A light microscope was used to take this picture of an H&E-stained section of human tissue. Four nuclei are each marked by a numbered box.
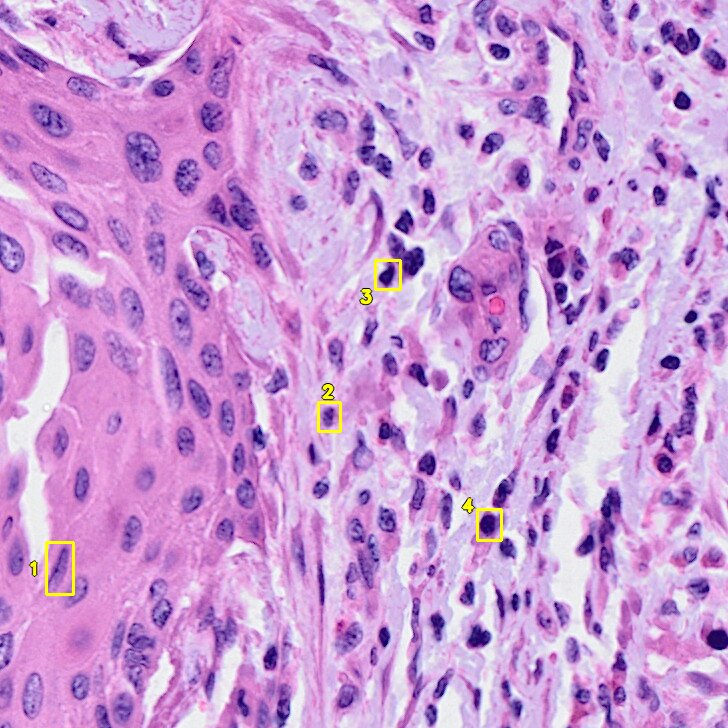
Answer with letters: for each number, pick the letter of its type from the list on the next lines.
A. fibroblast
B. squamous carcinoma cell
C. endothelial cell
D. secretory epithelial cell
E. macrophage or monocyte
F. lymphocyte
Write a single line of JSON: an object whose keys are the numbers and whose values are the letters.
{"1": "B", "2": "F", "3": "F", "4": "F"}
